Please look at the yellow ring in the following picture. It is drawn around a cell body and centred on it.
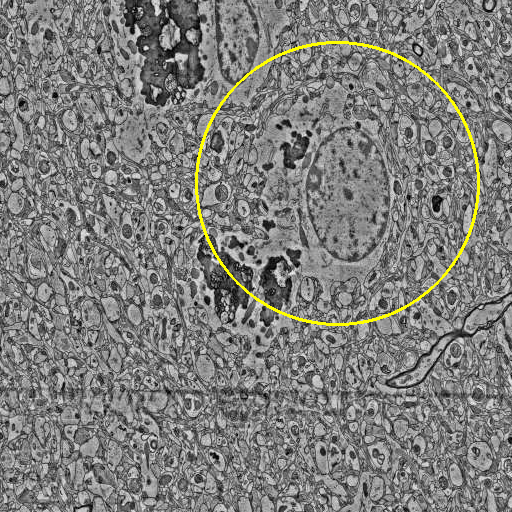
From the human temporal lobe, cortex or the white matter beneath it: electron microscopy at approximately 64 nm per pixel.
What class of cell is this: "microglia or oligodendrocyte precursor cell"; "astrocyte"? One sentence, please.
The ring surrounds the cell body of an astrocyte.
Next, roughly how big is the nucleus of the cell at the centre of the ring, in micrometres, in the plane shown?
The nucleus comes to approximately 9 by 5 micrometres and is clearly longer than it is wide in this plane.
